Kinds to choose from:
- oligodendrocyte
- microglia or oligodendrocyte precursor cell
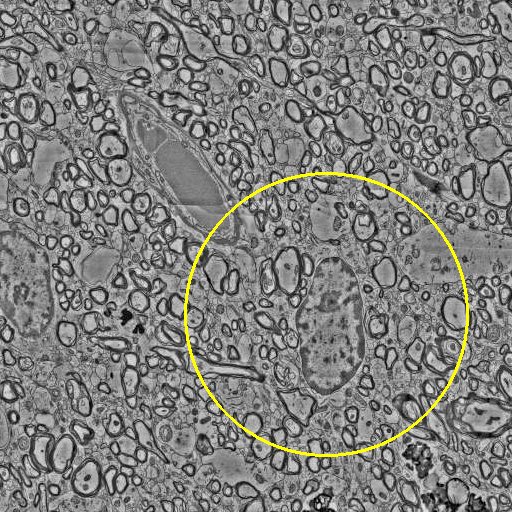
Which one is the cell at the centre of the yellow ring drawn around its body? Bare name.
microglia or oligodendrocyte precursor cell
